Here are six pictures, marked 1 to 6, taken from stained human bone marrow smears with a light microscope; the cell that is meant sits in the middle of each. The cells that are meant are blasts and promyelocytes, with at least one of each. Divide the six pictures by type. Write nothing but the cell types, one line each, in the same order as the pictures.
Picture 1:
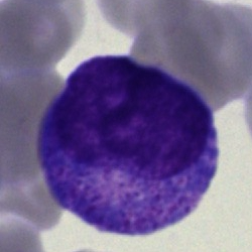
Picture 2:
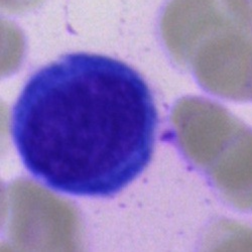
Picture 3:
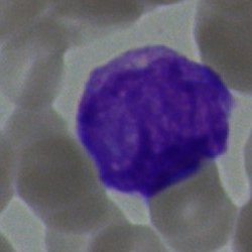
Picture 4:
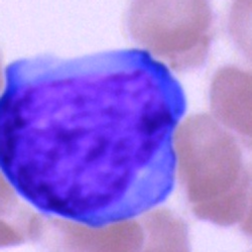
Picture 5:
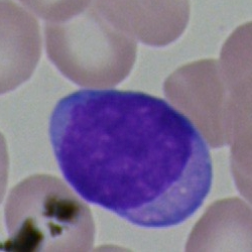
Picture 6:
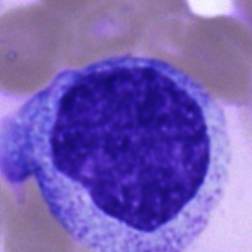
promyelocyte
blast
blast
blast
blast
promyelocyte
